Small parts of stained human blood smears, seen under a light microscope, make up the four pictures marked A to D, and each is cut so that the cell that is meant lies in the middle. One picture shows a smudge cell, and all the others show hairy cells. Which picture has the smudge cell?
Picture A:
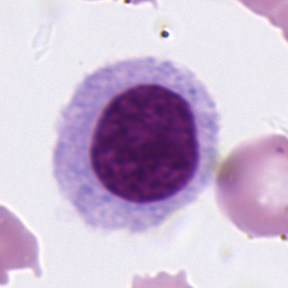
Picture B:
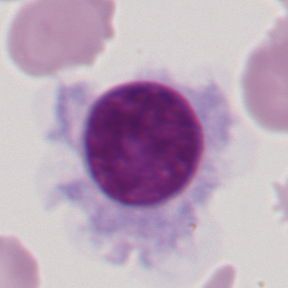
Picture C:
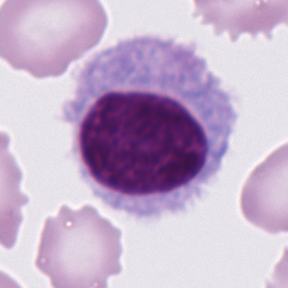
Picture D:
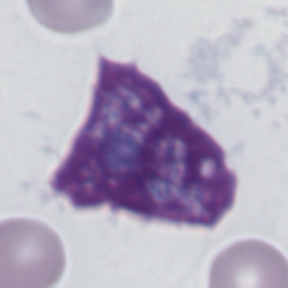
D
